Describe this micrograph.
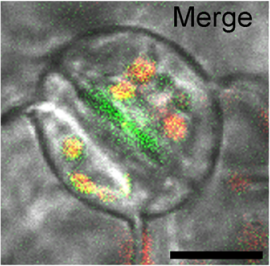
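A pair of guard cells flanking a slit-like stomatal pore is seen in bright-field, the two cells together forming a rounded outline among neighbouring epidermal cells. Several small oval chloroplasts lie within the guard cells, appearing orange to yellow where red and green fluorescence coincide. In addition, a patchy green fluorescence spreads over the central region along the pore and the inner walls, not confined to the chloroplasts. The bright pore margin and thickened inner walls of the guard cells are visible beneath the colour.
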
